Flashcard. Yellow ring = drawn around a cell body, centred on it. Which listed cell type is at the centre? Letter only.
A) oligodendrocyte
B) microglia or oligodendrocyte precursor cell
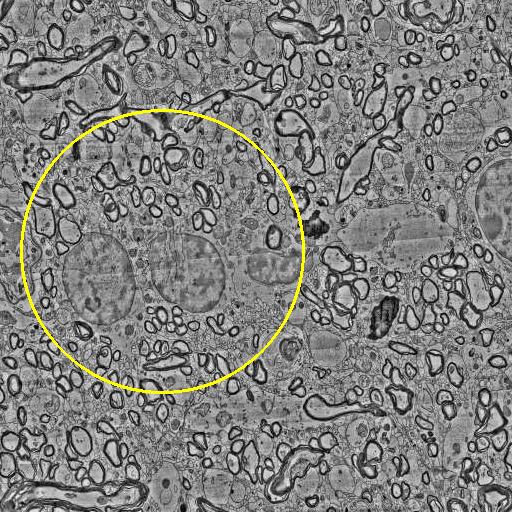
A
